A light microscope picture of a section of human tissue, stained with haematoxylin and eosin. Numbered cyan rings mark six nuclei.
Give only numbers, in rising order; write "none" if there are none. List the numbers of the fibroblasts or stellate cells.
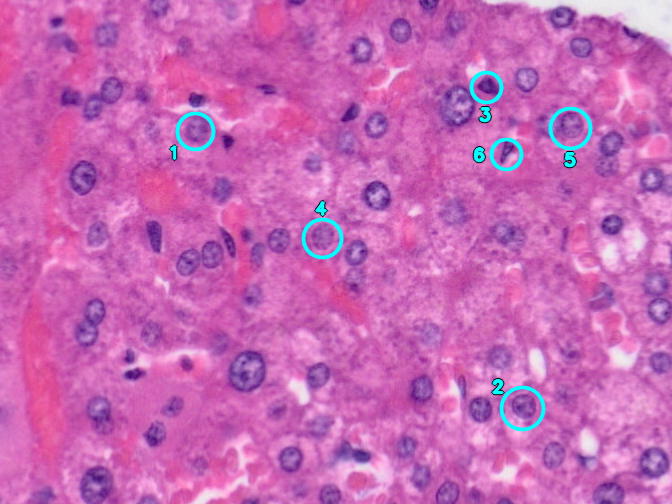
3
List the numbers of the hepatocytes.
1, 2, 4, 5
